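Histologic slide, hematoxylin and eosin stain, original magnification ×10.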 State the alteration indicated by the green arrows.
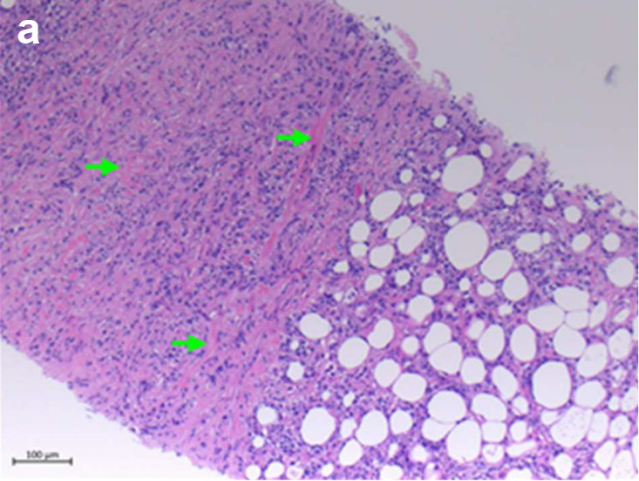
Storiform fibrosis.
